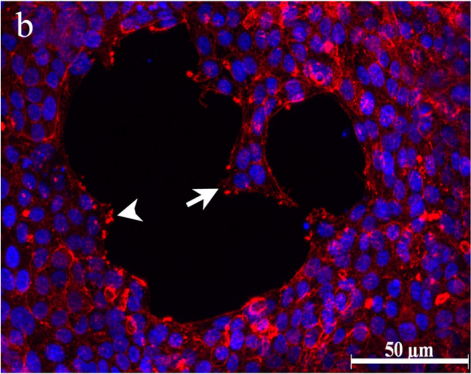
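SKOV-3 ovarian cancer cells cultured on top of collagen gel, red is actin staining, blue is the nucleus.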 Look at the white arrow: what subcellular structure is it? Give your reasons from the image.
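Filopodia. Thin red protrusions extend from cells at the edge of a cell-free gap. The arrow points at the margin of the cell sheet facing the empty area.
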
